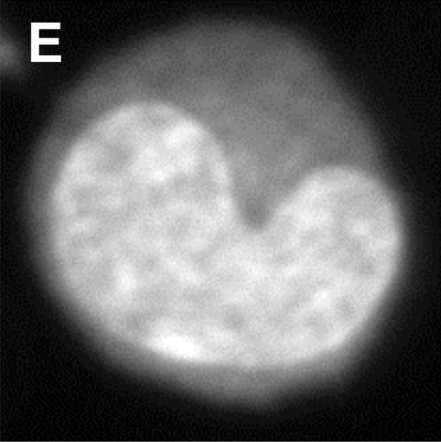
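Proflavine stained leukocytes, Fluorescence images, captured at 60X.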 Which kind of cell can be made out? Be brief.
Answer: Monocyte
